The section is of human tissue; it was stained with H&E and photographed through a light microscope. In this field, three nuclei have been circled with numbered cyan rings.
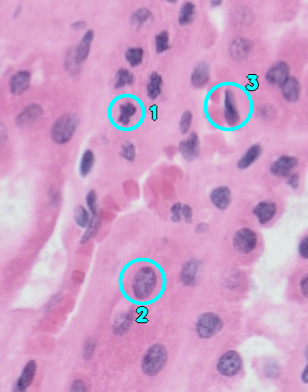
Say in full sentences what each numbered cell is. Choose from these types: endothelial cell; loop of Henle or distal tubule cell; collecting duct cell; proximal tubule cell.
Cell 1 is a loop of Henle or distal tubule cell, cell 2 is a proximal tubule cell and cell 3 is an endothelial cell.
